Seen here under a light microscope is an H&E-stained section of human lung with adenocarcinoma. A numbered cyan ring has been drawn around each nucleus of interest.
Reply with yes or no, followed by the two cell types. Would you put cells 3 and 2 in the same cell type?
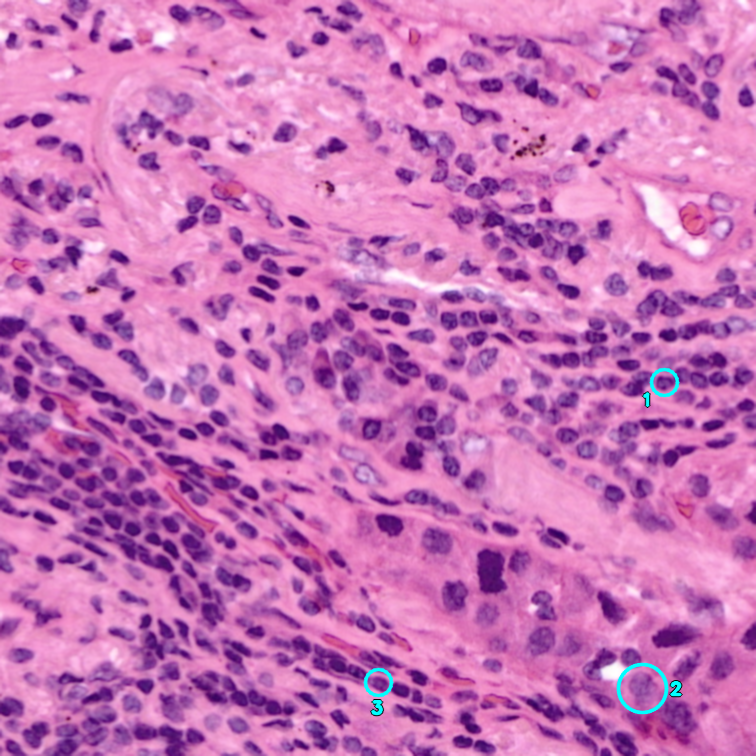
No, cell 3 is a lymphocyte, while cell 2 is a carcinoma cell.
